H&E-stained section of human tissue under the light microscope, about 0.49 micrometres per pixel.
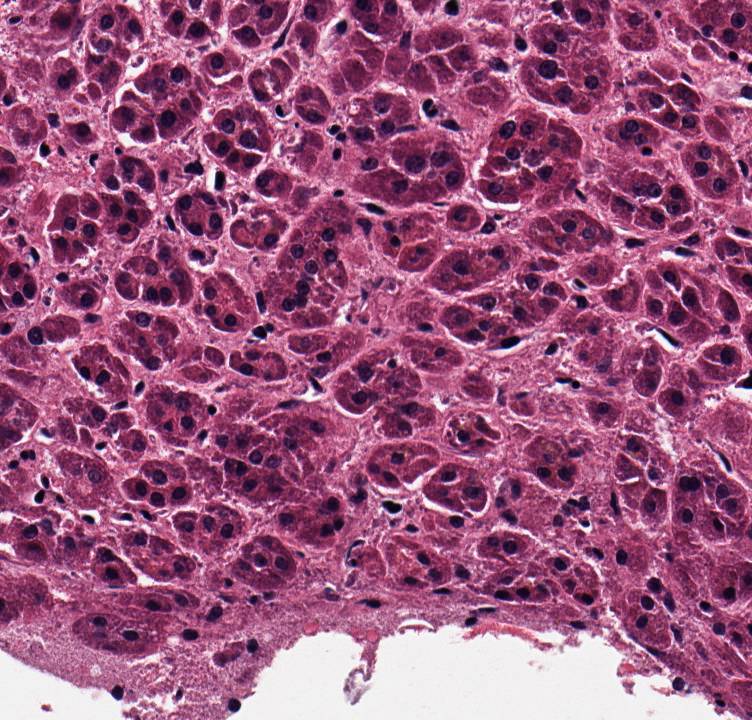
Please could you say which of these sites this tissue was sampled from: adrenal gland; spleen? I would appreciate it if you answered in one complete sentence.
This material was sampled from the adrenal gland.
